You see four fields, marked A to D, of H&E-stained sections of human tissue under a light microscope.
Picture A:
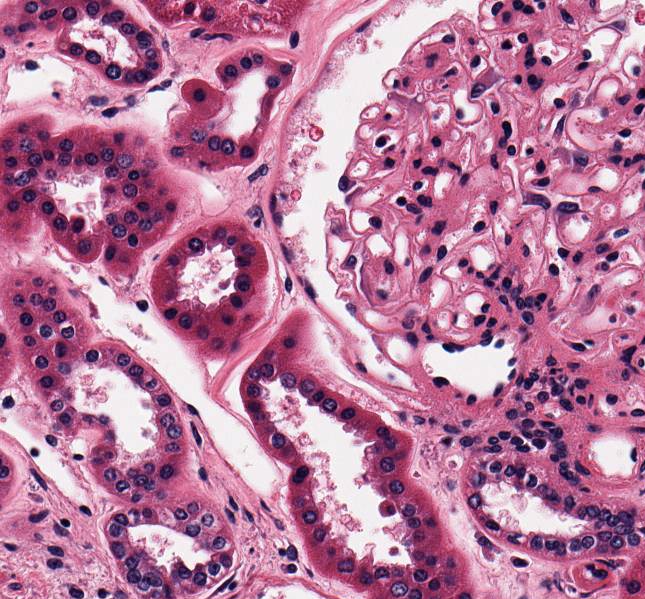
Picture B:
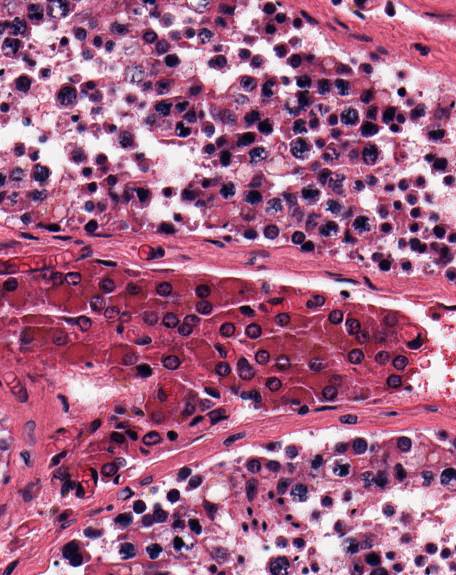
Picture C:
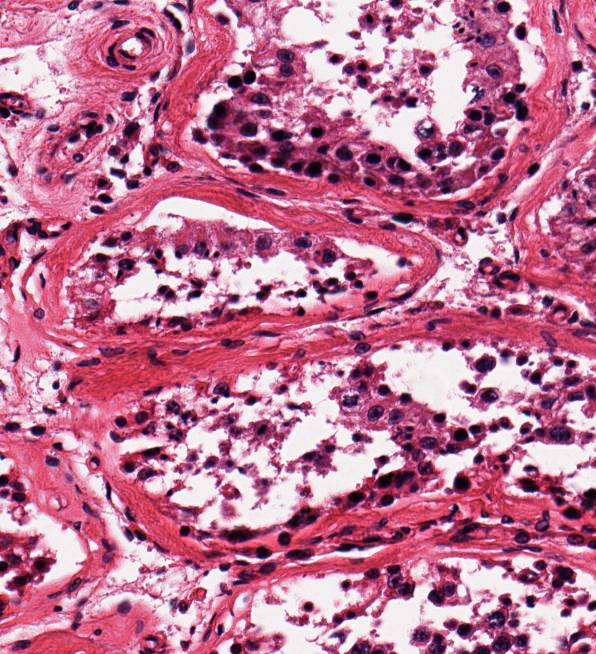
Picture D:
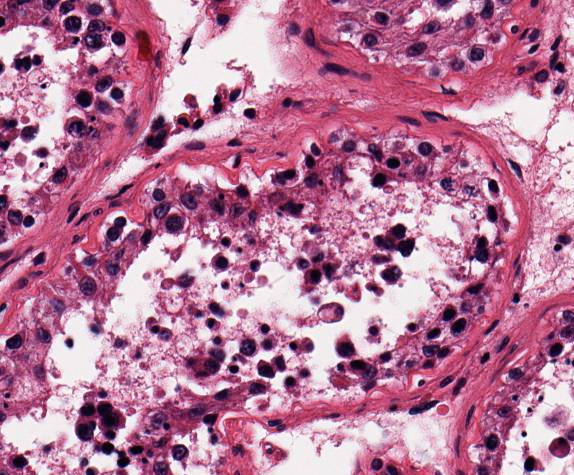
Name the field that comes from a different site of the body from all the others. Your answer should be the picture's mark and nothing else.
A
